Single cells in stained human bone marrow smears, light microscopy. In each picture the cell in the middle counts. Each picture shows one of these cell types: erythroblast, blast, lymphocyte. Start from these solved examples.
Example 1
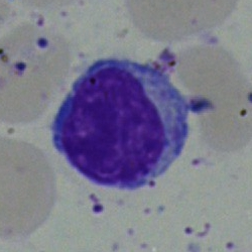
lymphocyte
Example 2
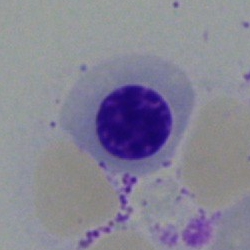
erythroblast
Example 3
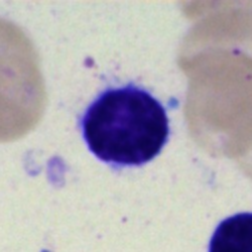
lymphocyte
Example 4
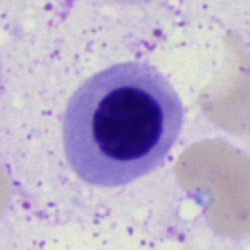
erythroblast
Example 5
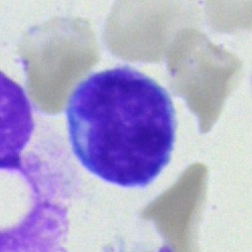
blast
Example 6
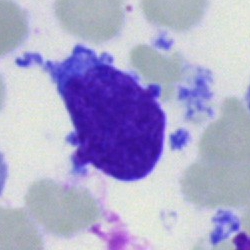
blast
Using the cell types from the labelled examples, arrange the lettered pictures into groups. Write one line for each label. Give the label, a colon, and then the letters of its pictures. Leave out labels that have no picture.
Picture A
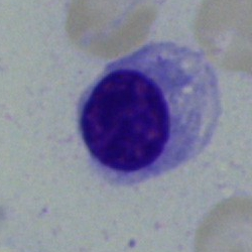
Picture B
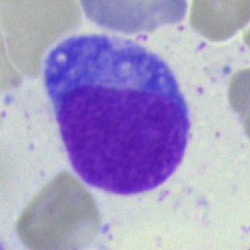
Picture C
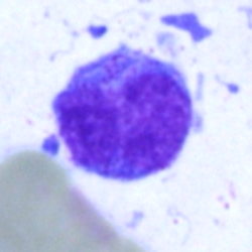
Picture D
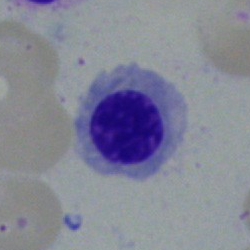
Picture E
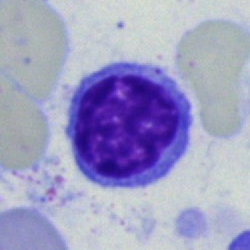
erythroblast: A, D
blast: B, C
lymphocyte: E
